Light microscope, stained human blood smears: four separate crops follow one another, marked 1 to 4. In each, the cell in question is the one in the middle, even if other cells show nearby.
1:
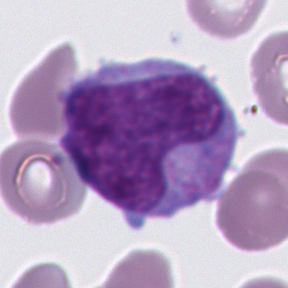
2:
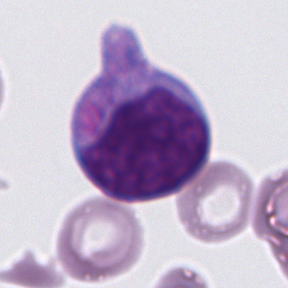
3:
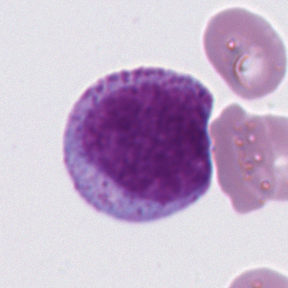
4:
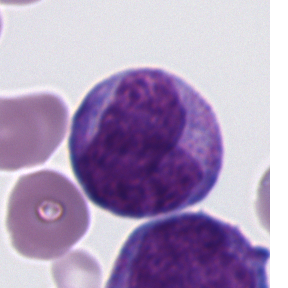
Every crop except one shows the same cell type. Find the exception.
3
